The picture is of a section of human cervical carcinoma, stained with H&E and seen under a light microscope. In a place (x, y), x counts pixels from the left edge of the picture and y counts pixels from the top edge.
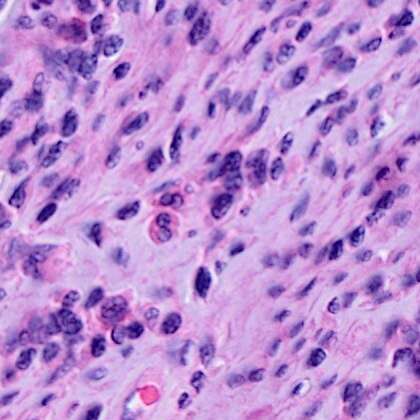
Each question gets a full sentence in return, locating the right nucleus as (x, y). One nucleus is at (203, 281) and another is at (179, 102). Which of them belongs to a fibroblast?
The one nucleus of the two that belongs to a fibroblast is at (179, 102).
